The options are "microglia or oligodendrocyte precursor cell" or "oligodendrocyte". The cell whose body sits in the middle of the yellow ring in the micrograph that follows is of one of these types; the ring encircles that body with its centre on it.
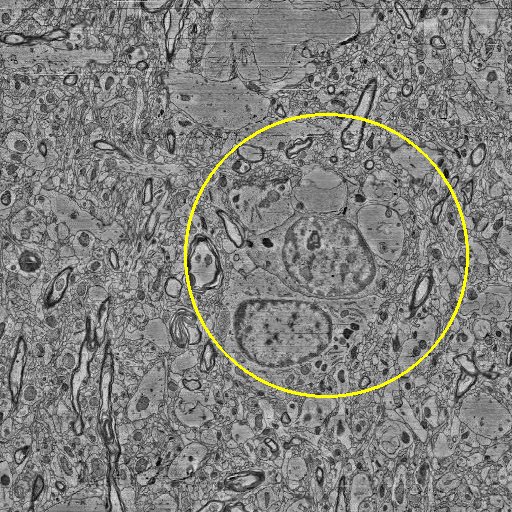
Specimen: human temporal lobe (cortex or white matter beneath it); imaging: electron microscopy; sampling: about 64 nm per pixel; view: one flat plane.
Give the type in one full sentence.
Going by the micrograph, the cell centred in the yellow ring is an oligodendrocyte.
